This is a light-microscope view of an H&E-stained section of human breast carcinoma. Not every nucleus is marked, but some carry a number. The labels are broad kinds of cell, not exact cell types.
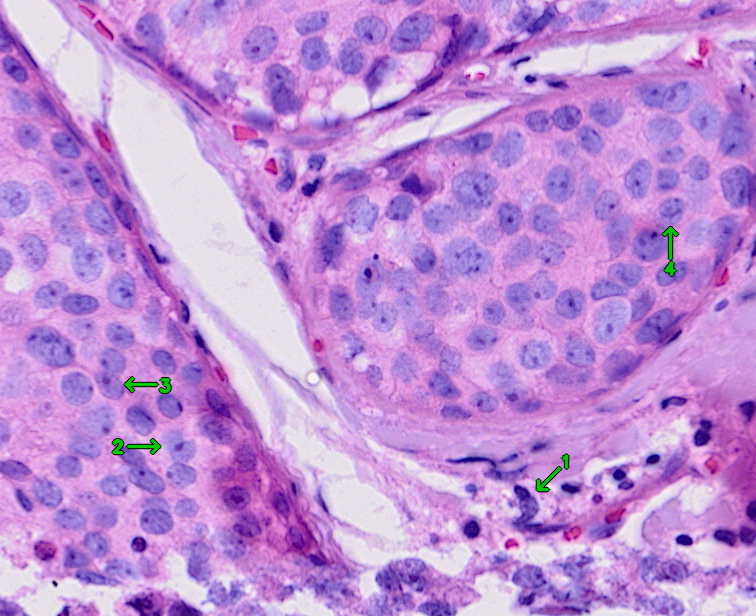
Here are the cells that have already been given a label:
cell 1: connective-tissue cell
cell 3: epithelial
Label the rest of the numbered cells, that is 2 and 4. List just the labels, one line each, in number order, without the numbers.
epithelial
epithelial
